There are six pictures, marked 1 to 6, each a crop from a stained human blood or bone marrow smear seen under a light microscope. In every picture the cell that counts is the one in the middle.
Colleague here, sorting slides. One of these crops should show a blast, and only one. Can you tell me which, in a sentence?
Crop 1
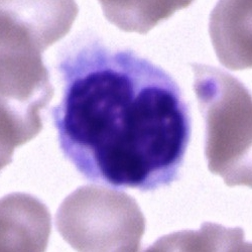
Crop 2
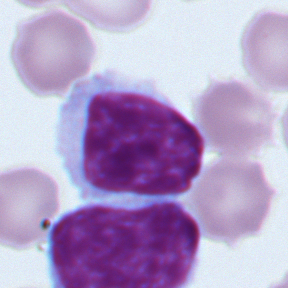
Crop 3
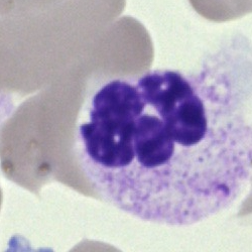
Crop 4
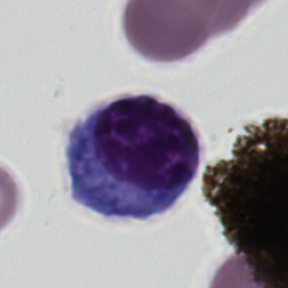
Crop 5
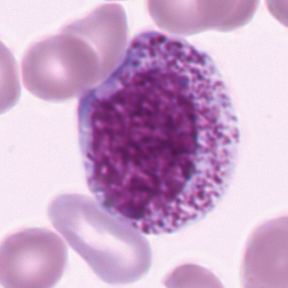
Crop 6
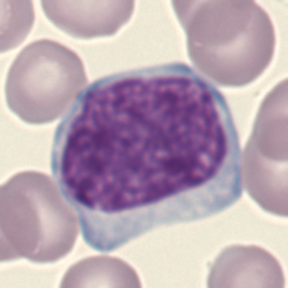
The crop with a blast at its center is crop 6.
